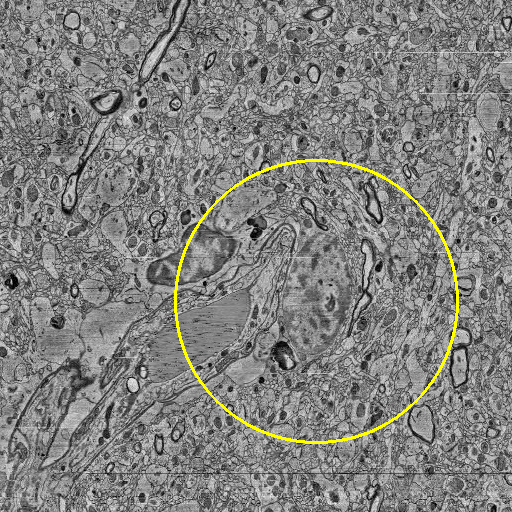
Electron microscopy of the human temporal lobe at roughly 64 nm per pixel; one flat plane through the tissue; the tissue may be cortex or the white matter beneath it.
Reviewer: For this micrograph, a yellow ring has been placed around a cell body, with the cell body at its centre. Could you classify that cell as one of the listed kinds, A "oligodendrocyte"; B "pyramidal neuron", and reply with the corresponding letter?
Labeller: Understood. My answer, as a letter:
A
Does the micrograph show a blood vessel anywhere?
Yes, a blood vessel is present in this picture.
